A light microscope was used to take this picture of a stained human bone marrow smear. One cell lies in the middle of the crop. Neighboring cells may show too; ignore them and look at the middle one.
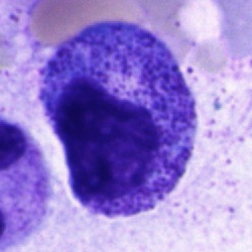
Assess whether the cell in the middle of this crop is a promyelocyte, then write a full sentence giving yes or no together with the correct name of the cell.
Yes, the identification of the central cell as a promyelocyte is correct.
